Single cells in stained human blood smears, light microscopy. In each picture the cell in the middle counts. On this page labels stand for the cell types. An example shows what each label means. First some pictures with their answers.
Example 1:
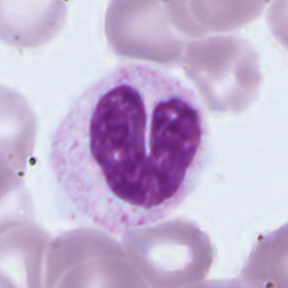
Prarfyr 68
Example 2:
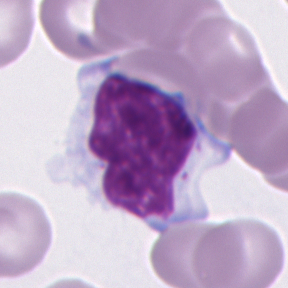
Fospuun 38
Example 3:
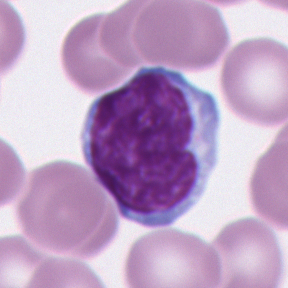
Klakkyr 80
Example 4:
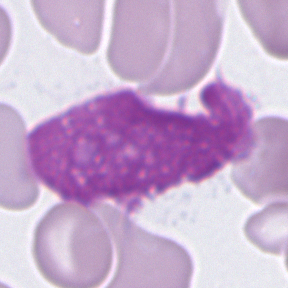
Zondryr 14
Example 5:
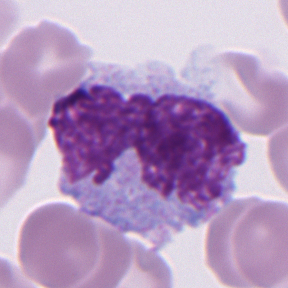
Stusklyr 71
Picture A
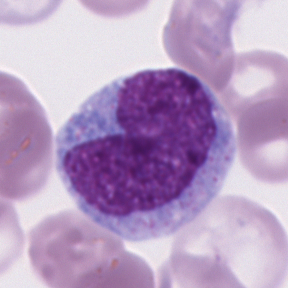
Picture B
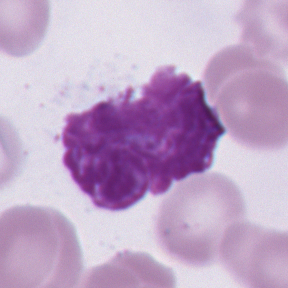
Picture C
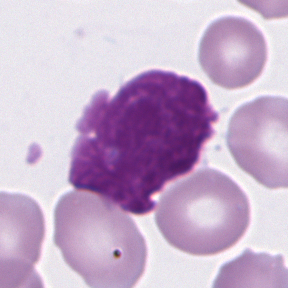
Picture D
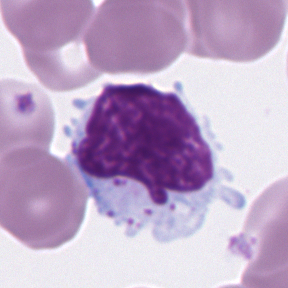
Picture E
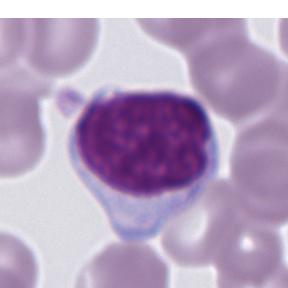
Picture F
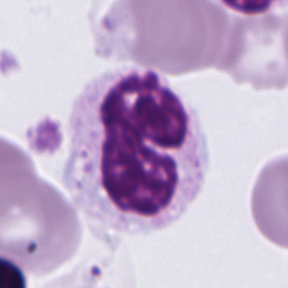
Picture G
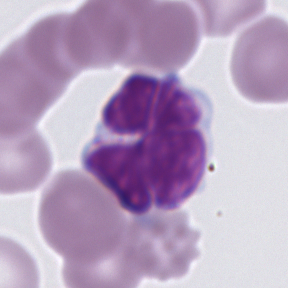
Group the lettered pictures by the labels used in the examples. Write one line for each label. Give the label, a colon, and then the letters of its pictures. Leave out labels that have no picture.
Prarfyr 68: F
Fospuun 38: D, E, G
Zondryr 14: B, C
Stusklyr 71: A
